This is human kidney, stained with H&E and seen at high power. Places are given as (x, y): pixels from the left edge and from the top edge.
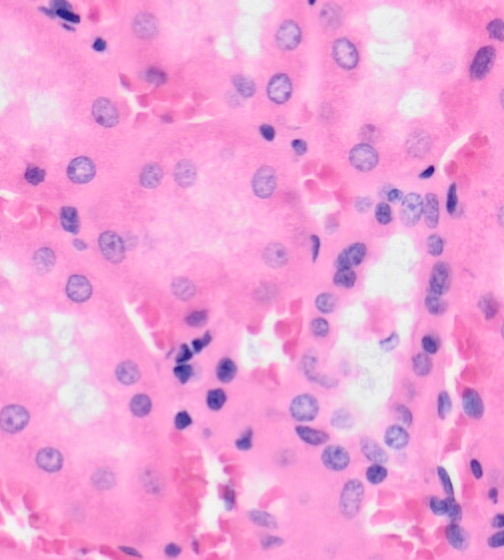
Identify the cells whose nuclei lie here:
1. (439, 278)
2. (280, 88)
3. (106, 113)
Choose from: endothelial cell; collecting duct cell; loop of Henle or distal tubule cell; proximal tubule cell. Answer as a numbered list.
1. collecting duct cell
2. proximal tubule cell
3. proximal tubule cell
